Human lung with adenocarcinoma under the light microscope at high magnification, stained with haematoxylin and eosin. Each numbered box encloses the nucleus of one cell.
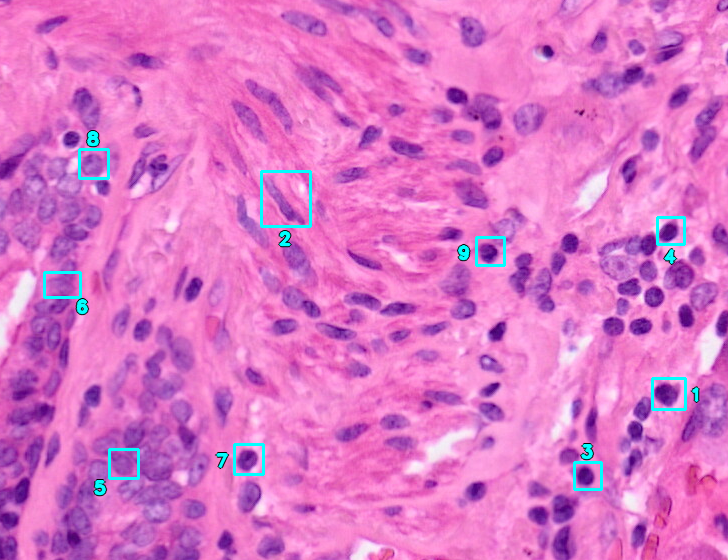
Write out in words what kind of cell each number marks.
Cell 1 is a lymphocyte, cell 2 is a smooth muscle cell or pericyte, cell 3 is a lymphocyte, cell 4 is a lymphocyte, cell 5 is a ciliated epithelial cell, cell 6 is a ciliated epithelial cell, cell 7 is a lymphocyte, cell 8 is a ciliated epithelial cell and cell 9 is a lymphocyte.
